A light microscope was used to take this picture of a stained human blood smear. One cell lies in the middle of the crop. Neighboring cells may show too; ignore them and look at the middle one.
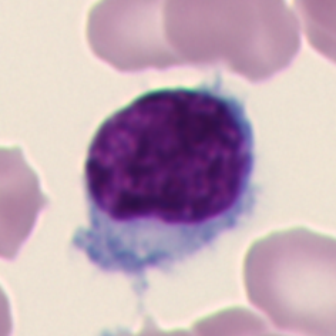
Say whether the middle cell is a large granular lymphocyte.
no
